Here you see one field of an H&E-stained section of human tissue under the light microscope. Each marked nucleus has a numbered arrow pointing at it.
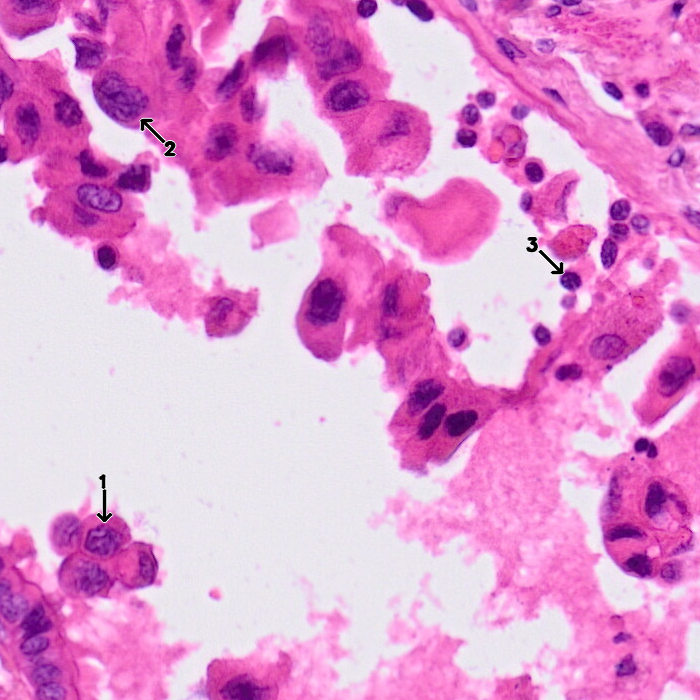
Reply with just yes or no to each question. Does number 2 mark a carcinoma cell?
yes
